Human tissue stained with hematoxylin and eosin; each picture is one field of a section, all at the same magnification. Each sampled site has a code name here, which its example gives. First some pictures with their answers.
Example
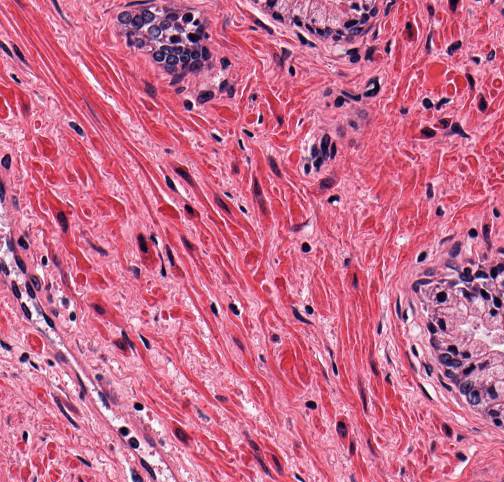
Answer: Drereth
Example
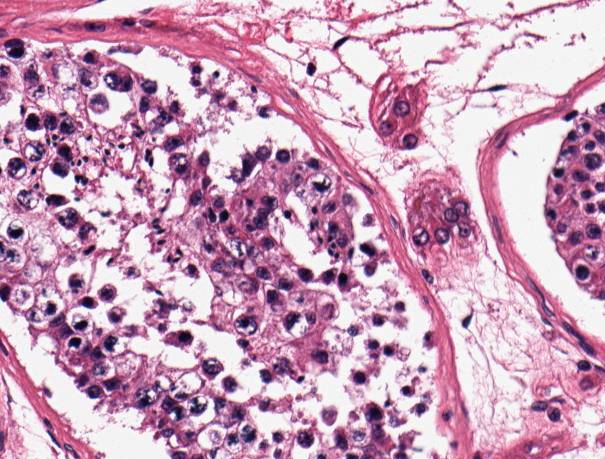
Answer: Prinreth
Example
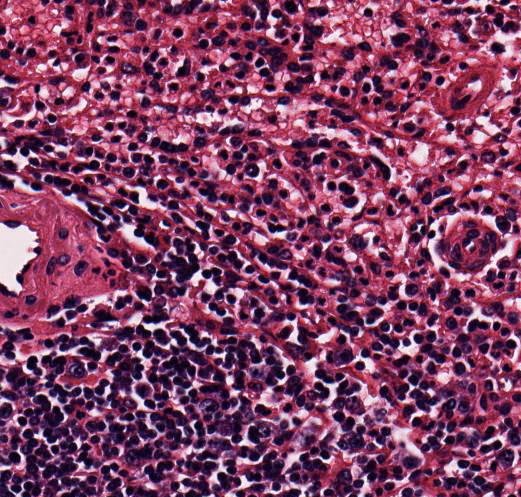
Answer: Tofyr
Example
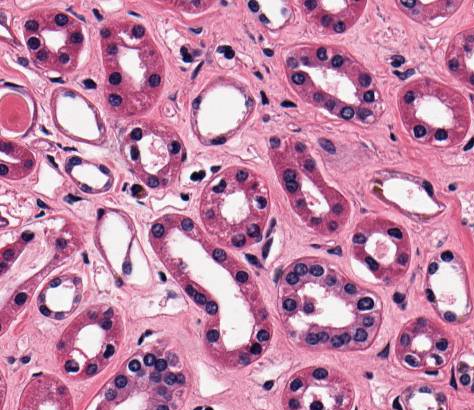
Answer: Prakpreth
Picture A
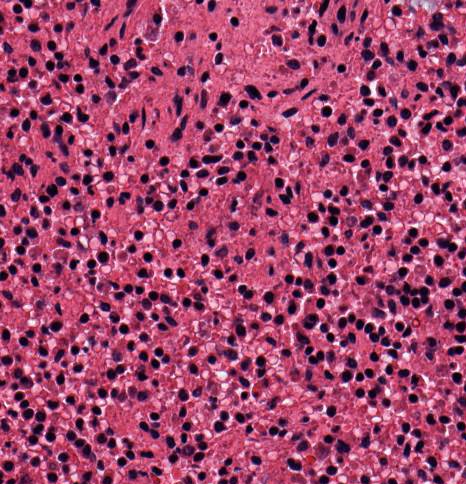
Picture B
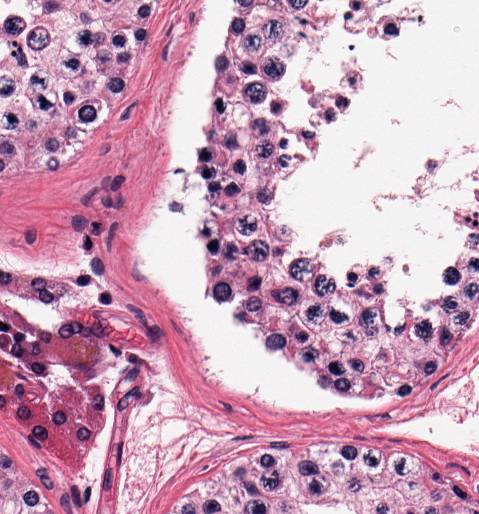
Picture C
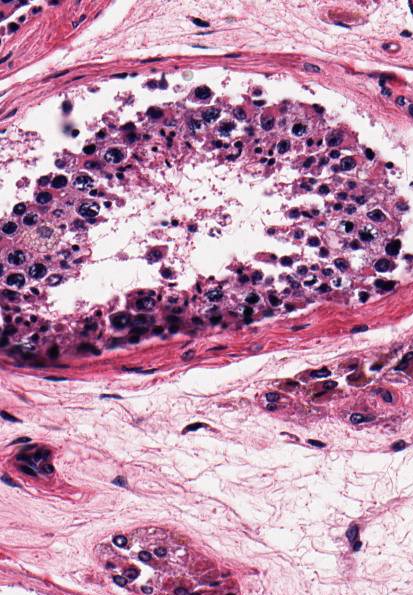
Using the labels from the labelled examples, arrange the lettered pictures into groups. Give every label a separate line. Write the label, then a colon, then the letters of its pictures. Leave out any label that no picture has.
Prinreth: B, C
Tofyr: A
